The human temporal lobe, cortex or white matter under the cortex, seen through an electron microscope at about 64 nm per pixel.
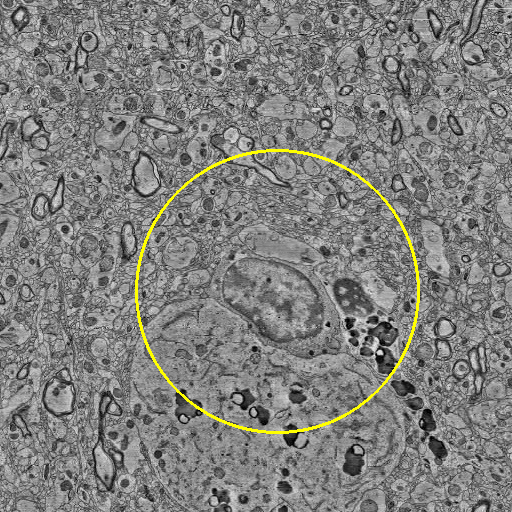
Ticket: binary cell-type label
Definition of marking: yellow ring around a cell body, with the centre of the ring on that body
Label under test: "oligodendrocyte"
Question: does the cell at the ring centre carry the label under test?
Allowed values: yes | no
yes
